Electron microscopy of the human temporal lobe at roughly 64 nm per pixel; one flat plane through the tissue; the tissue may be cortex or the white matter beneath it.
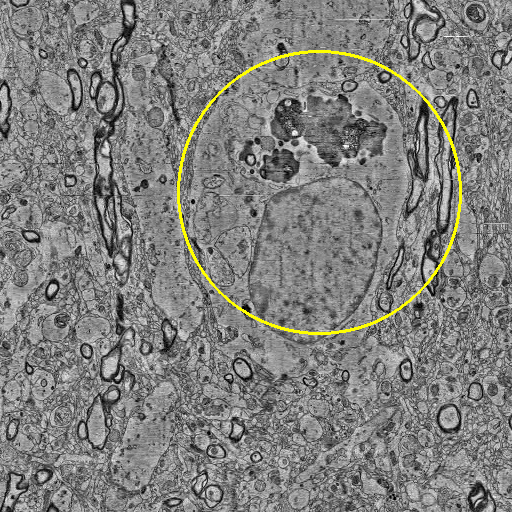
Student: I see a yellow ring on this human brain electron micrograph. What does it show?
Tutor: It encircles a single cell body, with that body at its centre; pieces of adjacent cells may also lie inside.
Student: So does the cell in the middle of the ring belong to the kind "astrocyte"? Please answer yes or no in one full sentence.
Yes, the cell in the middle of that yellow ring belongs to this kind.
